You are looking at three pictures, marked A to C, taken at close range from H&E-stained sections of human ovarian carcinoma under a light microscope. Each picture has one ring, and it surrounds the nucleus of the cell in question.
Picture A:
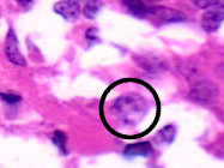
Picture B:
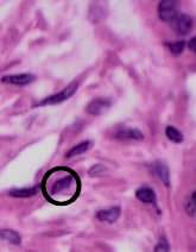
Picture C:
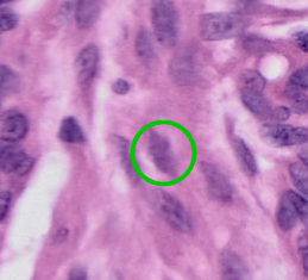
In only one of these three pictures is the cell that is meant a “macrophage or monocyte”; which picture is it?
A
